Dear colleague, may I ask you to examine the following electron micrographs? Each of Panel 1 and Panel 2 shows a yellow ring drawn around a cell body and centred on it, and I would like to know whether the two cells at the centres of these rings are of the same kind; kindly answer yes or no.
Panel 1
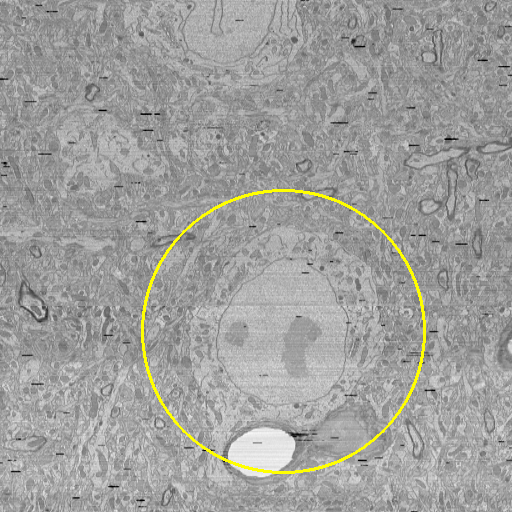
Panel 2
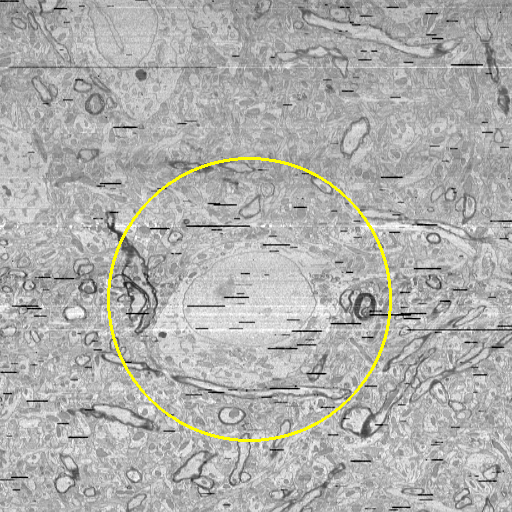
yes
